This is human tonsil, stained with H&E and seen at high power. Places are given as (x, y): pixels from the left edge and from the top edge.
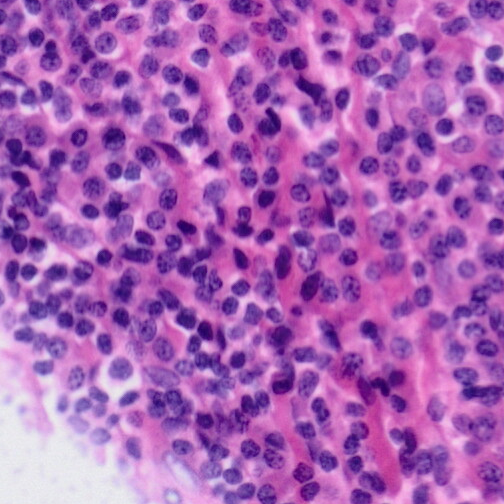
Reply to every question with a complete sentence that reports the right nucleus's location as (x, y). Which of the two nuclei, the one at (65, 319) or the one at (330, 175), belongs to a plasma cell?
The nucleus at (330, 175), rather than the other, belongs to a plasma cell.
